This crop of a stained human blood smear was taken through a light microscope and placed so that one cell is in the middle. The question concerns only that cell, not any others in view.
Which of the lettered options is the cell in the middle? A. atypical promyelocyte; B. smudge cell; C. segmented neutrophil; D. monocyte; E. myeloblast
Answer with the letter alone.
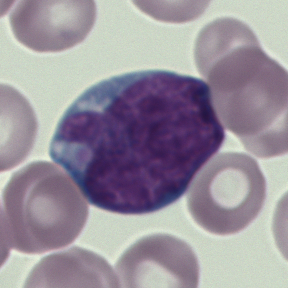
E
